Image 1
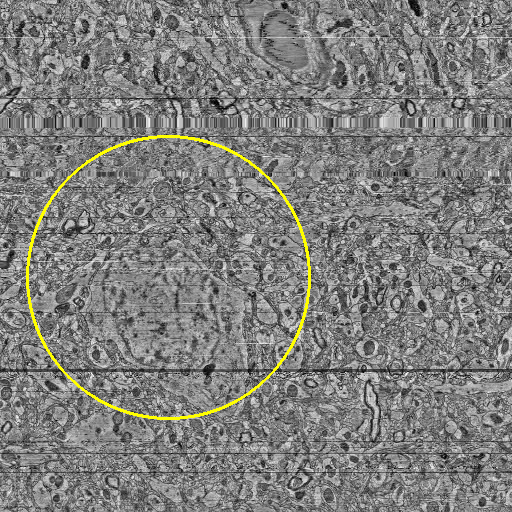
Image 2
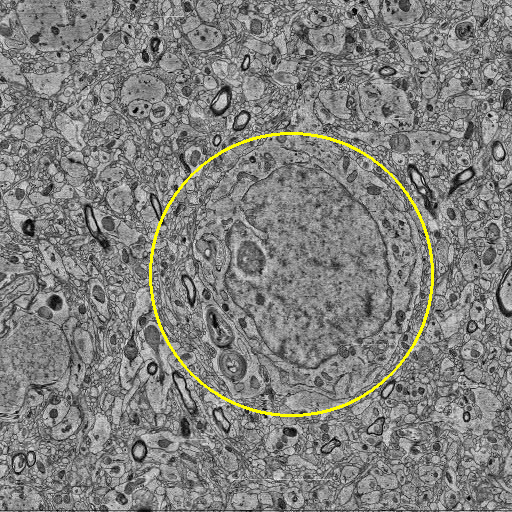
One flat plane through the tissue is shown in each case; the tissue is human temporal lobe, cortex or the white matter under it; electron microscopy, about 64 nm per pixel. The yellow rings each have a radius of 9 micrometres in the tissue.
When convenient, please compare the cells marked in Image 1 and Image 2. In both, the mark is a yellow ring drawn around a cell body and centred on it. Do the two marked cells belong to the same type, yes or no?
yes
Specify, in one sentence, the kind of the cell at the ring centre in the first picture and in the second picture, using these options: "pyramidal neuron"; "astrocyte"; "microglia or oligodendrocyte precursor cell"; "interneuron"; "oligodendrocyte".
The ring centre holds an interneuron in each of the two pictures.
